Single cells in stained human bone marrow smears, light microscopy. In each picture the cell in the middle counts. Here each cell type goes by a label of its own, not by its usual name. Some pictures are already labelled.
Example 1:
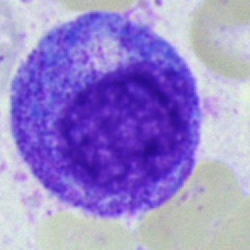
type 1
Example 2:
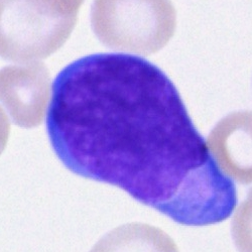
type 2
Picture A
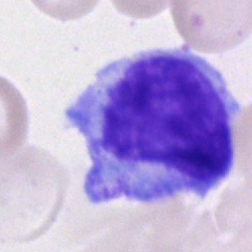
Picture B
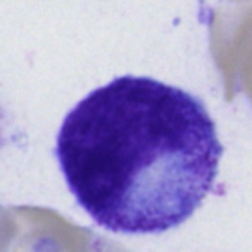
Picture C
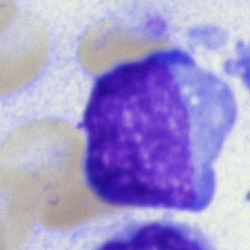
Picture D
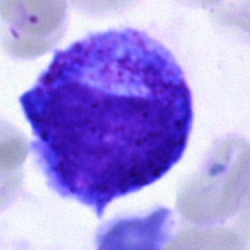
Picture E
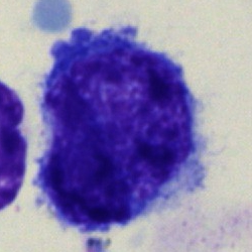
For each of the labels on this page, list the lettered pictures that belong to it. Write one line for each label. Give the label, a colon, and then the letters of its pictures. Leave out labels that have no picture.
type 1: A, B, D
type 2: C, E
